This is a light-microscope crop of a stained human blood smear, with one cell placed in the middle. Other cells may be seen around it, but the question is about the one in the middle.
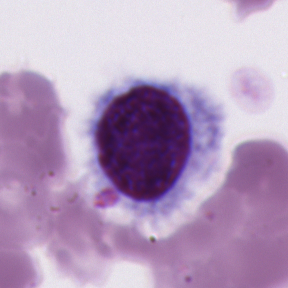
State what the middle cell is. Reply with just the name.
hairy cell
